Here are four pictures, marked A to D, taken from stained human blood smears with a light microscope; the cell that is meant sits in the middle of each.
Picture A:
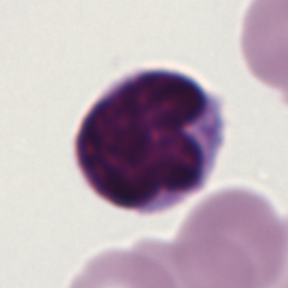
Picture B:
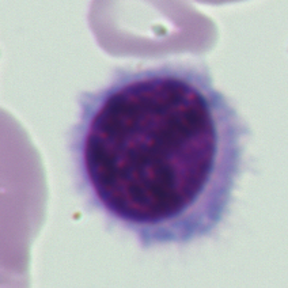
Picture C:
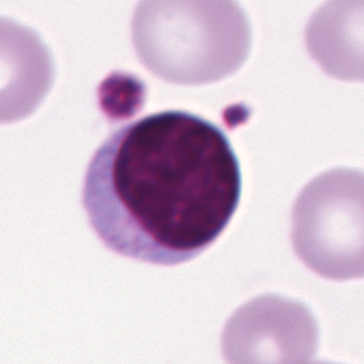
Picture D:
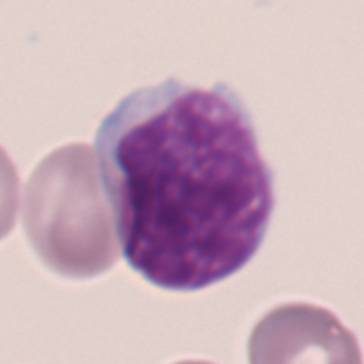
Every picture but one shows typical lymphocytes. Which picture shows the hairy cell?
B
